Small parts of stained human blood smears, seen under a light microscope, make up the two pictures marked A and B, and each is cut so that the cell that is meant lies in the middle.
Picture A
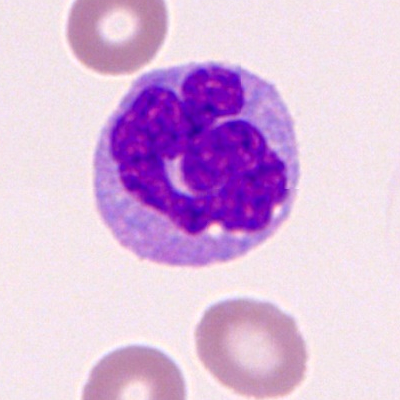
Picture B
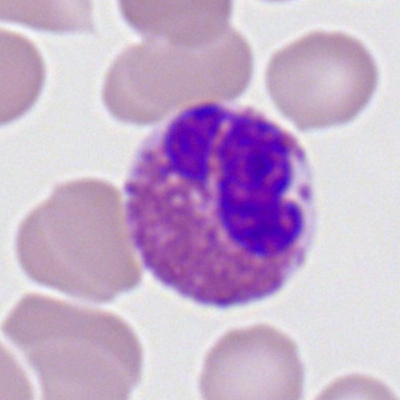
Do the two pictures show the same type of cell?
no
